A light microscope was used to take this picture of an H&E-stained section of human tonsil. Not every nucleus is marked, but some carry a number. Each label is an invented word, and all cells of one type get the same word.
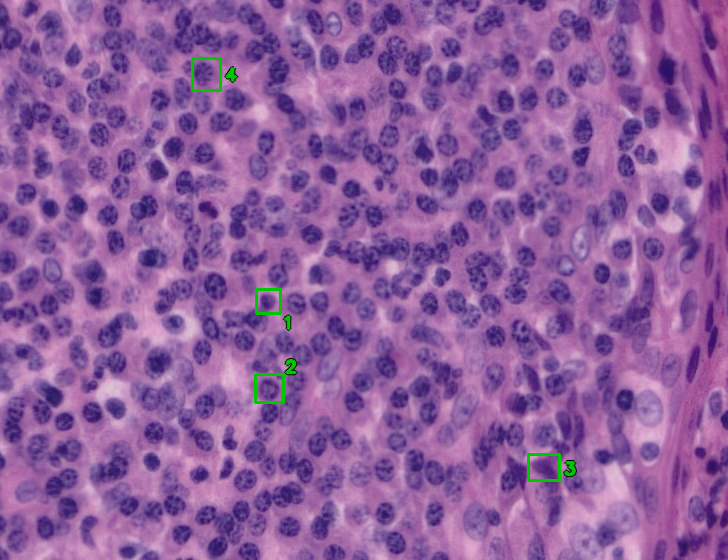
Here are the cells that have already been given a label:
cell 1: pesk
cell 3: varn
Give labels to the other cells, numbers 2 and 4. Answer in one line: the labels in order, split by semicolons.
pesk; pesk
